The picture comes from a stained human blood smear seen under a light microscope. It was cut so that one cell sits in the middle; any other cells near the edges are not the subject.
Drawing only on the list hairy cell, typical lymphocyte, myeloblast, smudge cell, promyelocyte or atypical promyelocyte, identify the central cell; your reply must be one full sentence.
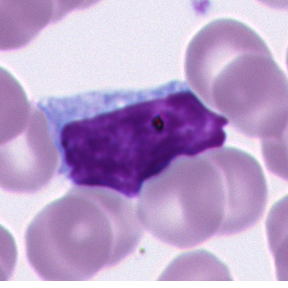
The cell in the middle of the field of view is a typical lymphocyte.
